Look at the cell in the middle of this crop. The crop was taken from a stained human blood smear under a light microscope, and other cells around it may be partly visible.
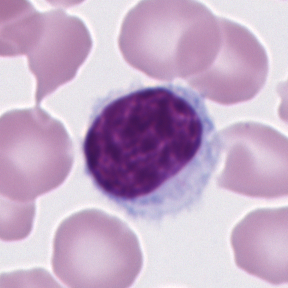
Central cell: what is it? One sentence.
The cell of interest, in the center, is a hairy cell.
